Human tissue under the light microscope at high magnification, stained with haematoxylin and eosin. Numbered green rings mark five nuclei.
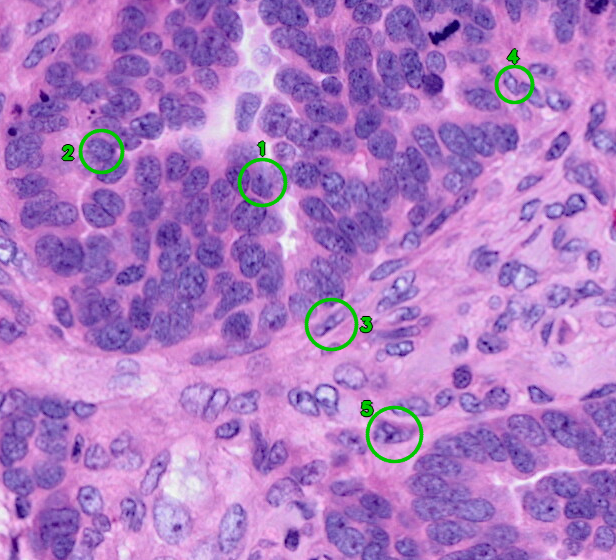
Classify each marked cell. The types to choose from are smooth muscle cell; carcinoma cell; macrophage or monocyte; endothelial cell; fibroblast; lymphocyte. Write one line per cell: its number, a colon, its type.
1: carcinoma cell
2: carcinoma cell
3: fibroblast
4: fibroblast
5: fibroblast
